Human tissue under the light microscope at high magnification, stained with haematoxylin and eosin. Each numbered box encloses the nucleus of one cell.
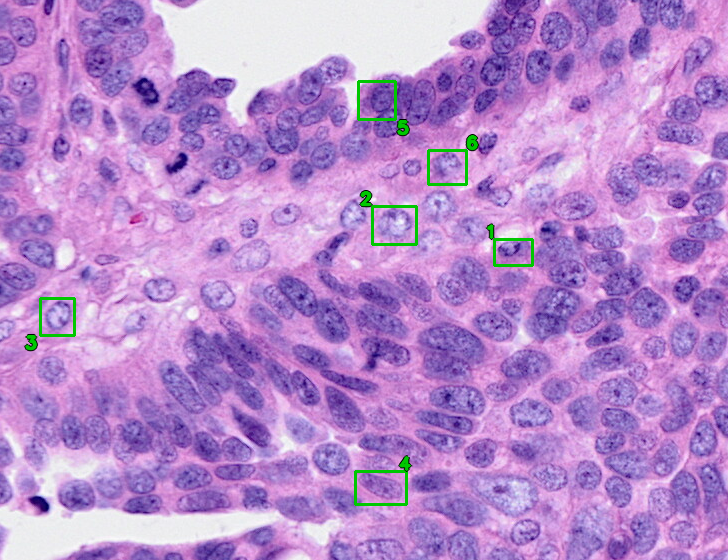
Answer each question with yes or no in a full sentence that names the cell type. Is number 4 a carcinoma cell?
Yes, it checks out; the cell labelled 4 is a carcinoma cell.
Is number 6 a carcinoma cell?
No; cell 6 is a fibroblast, not a carcinoma cell.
